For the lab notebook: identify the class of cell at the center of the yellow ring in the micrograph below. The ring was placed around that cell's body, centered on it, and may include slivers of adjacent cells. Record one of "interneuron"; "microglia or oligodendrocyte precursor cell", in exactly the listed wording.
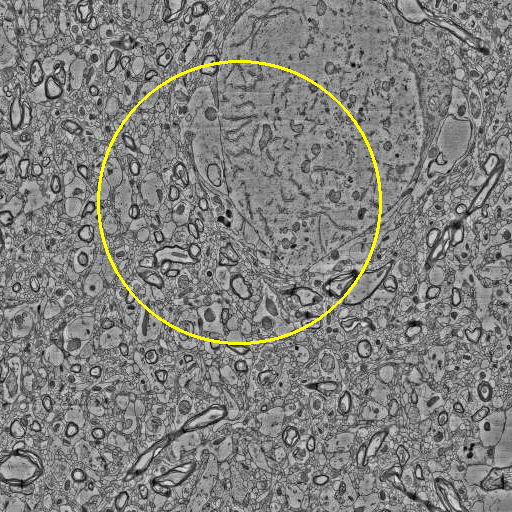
microglia or oligodendrocyte precursor cell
